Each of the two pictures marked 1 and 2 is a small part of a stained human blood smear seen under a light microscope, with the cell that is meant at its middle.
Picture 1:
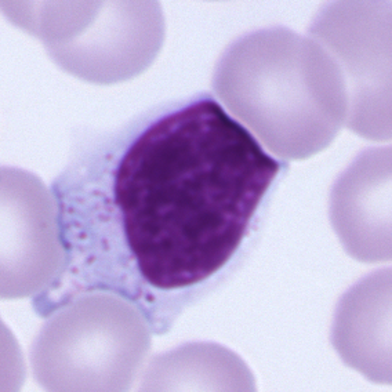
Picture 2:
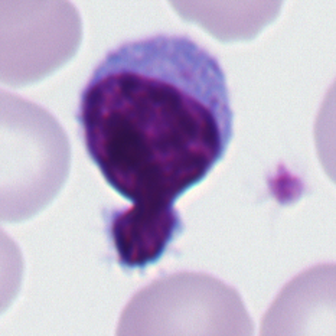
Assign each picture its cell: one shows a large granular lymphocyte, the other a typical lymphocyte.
1: large granular lymphocyte
2: typical lymphocyte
